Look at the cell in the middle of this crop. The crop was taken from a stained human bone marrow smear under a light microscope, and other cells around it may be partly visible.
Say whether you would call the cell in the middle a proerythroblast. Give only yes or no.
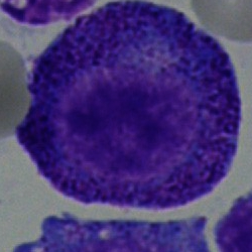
no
